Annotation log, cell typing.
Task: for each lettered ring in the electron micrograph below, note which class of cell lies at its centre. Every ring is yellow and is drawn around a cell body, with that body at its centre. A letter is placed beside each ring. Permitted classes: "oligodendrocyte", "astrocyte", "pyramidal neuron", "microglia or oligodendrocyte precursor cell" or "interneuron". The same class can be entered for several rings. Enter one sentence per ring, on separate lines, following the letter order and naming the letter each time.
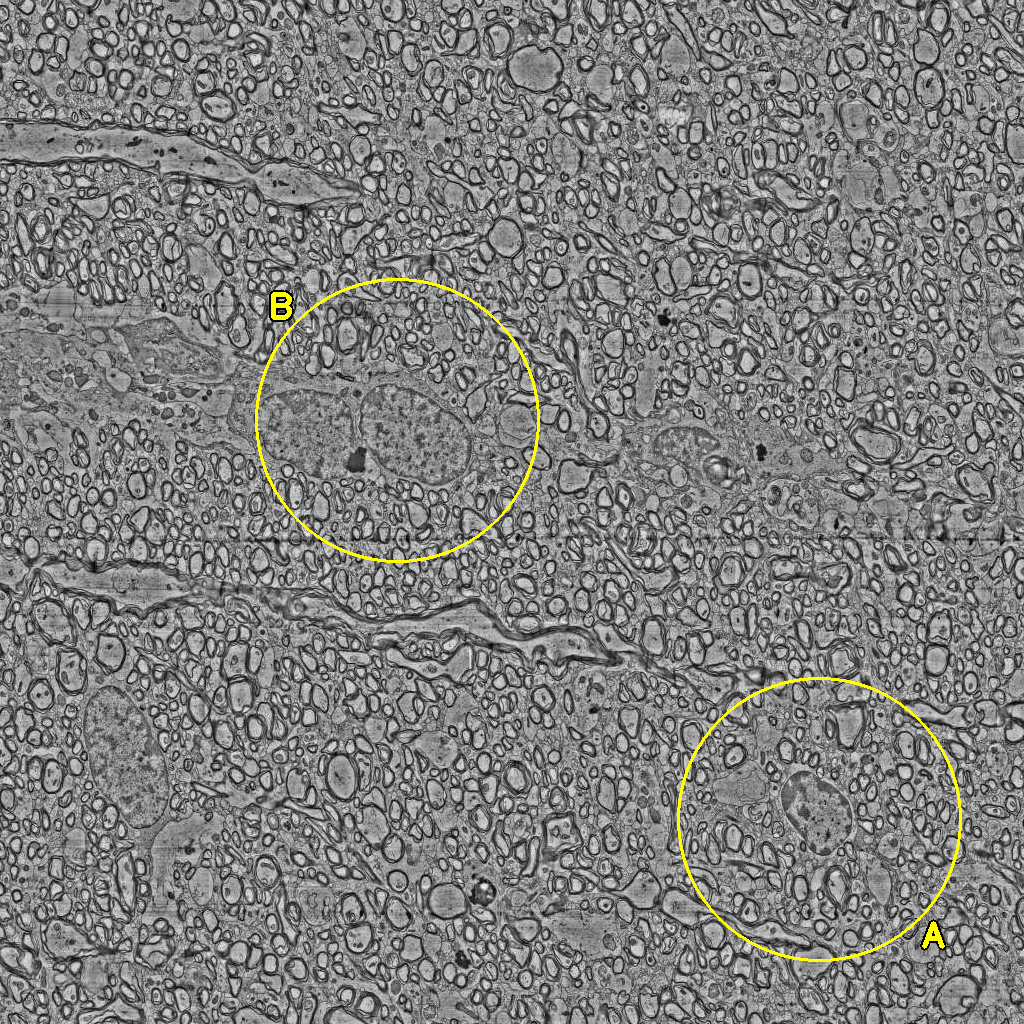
The cell at the centre of ring A is a microglial cell or oligodendrocyte precursor cell.
The cell at the centre of ring B is an oligodendrocyte.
